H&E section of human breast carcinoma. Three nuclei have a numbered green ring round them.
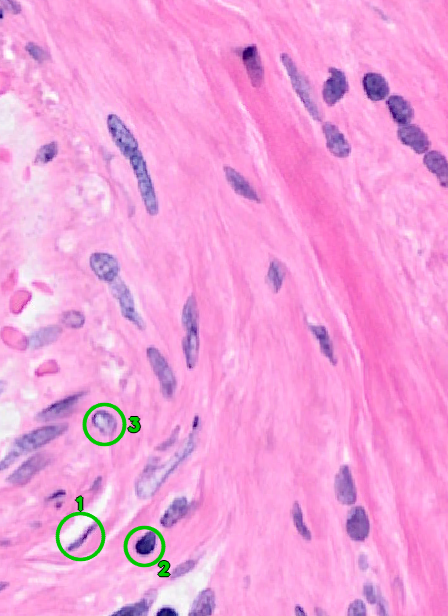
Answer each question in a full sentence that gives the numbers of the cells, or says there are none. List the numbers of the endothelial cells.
It is cell 3, and no other numbered cell, that is an endothelial cell.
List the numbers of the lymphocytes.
Only cell 2 qualifies as a lymphocyte among the numbered cells.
